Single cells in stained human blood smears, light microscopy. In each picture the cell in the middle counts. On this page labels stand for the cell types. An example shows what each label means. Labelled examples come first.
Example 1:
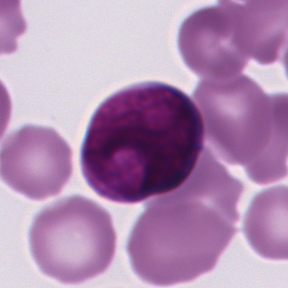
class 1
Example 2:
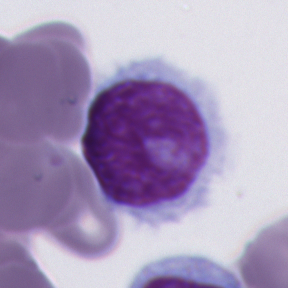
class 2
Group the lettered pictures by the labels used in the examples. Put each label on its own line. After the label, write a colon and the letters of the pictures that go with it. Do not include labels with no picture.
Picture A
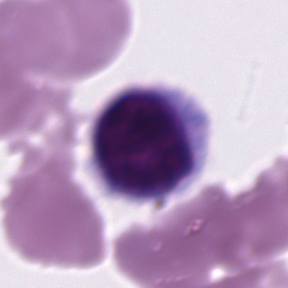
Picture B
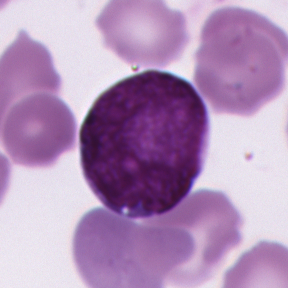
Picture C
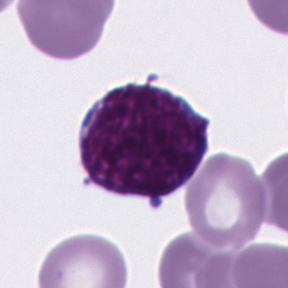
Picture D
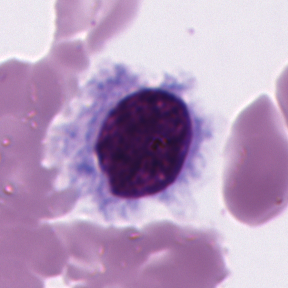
class 1: B, C
class 2: A, D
